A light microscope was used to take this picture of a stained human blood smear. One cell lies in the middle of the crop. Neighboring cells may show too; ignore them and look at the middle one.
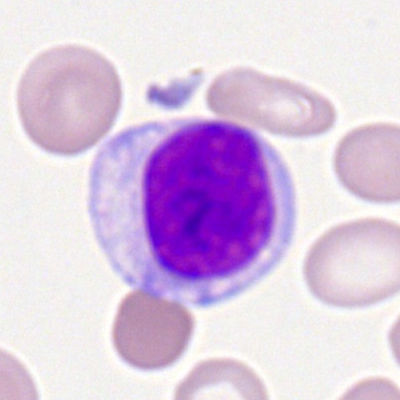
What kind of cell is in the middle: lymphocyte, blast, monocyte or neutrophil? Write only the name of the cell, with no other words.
lymphocyte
